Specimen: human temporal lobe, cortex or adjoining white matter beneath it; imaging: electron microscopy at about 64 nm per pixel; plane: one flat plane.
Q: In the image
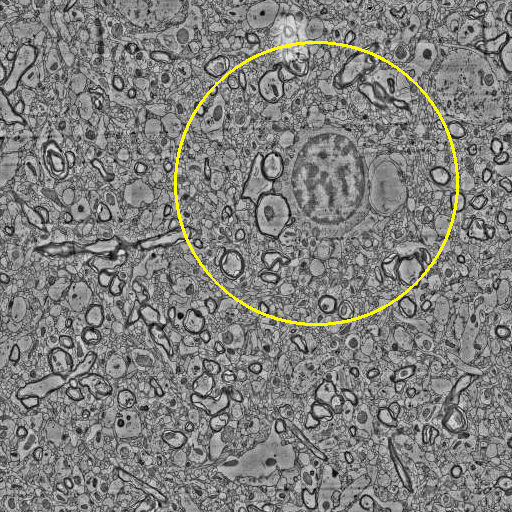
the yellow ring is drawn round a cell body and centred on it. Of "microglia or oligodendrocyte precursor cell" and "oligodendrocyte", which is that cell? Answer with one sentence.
The cell centred in the ring is an oligodendrocyte.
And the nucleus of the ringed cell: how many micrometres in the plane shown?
About 6 by 5 micrometres in this plane.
